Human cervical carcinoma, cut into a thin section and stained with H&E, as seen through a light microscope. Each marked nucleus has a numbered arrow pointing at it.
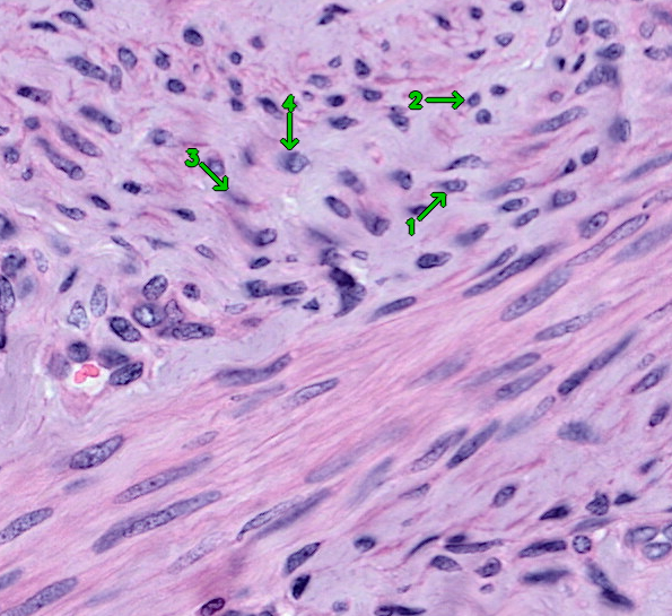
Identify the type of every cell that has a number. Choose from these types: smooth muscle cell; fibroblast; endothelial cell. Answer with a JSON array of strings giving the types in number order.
["smooth muscle cell", "smooth muscle cell", "smooth muscle cell", "fibroblast"]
